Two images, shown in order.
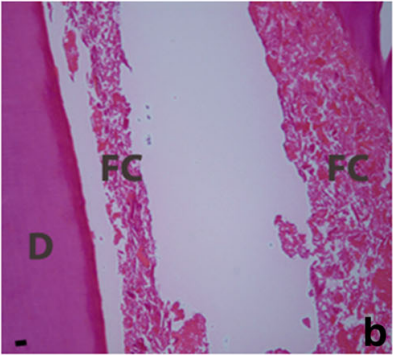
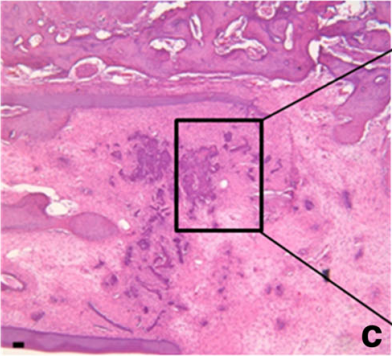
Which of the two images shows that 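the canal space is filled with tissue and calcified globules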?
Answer: The second image.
